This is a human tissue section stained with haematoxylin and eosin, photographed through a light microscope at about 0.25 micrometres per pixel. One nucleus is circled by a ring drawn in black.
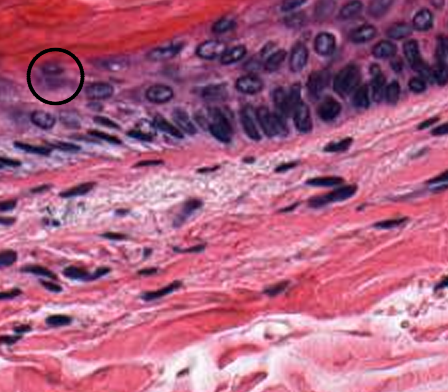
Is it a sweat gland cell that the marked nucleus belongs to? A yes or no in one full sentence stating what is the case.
No, the marked nucleus is held by a keratinocyte and not by a sweat gland cell.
